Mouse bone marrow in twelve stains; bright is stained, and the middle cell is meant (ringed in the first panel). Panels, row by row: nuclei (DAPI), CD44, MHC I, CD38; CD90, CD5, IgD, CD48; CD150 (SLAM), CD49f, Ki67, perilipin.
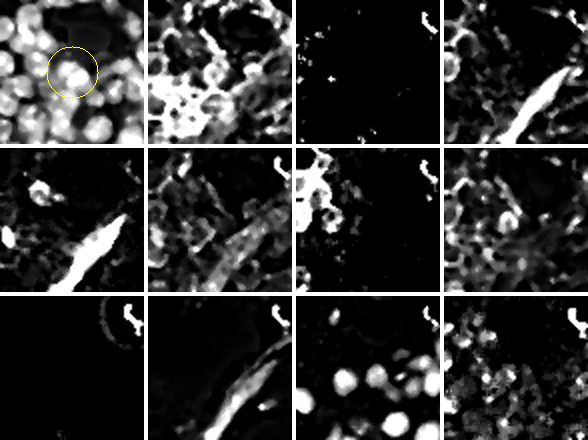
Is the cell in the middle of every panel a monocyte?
Yes, it is a monocyte.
